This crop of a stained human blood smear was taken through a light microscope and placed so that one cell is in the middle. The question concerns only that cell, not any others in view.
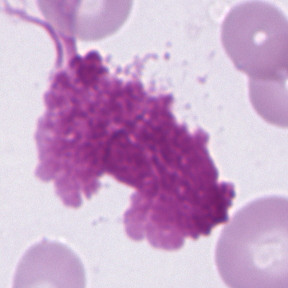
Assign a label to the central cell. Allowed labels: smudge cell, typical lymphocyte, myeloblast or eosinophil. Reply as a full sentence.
The cell that lies at the centre of the crop is a smudge cell.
